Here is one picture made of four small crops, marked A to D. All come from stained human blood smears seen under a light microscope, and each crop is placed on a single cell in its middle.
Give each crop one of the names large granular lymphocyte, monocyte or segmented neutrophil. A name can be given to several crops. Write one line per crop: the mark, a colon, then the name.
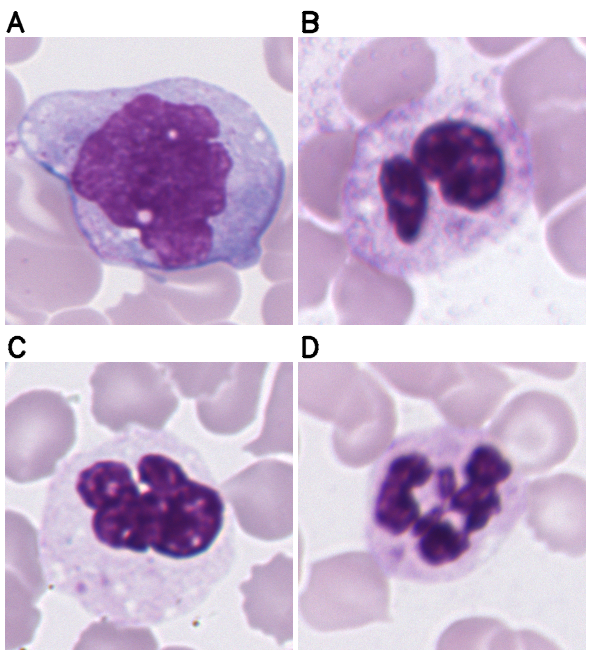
A: monocyte
B: segmented neutrophil
C: segmented neutrophil
D: segmented neutrophil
